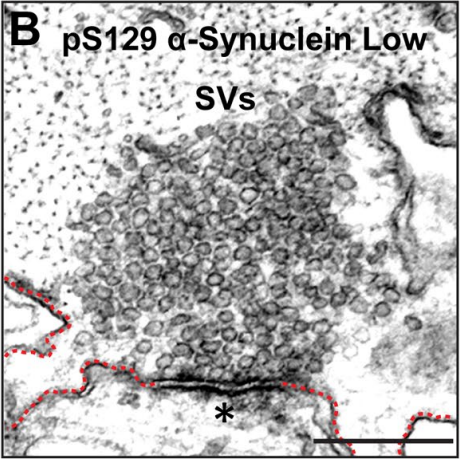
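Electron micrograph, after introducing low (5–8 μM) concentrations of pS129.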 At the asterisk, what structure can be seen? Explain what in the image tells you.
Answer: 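The asterisk lies beneath a short, dark, electron-dense membrane thickening. A dense cluster of round vesicles lies on the other side of the thickening.
Conclusion: postsynaptic density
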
